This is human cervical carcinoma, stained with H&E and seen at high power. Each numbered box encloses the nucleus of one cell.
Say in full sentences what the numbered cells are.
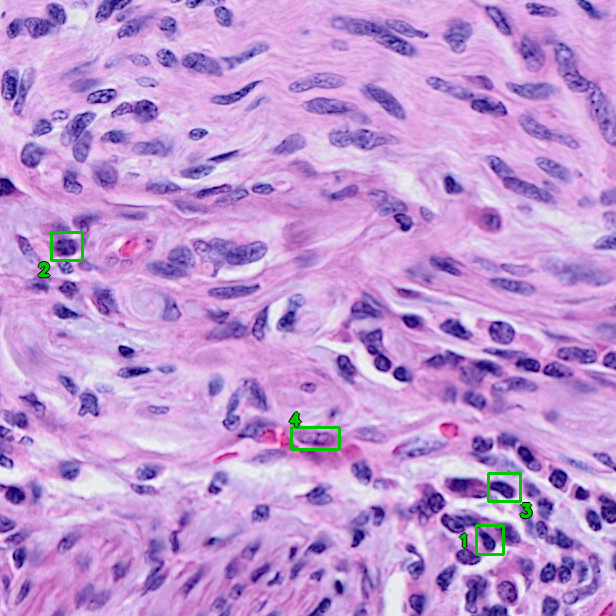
Cells 1, 2 and 3 are lymphocytes. Cell 4 is an endothelial cell.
